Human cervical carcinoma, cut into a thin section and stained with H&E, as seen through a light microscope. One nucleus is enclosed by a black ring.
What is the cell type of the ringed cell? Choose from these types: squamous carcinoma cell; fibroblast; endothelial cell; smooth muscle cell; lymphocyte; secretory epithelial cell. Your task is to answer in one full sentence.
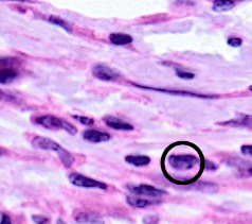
The identity of the ringed cell: it is a lymphocyte.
